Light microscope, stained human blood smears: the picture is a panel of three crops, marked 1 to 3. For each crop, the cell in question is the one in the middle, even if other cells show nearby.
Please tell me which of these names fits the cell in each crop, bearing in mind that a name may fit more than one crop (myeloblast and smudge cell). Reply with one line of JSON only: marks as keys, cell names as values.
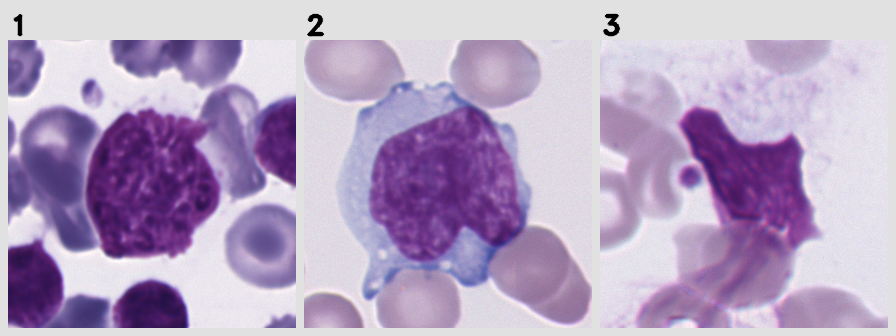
{"1": "smudge cell", "2": "myeloblast", "3": "smudge cell"}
